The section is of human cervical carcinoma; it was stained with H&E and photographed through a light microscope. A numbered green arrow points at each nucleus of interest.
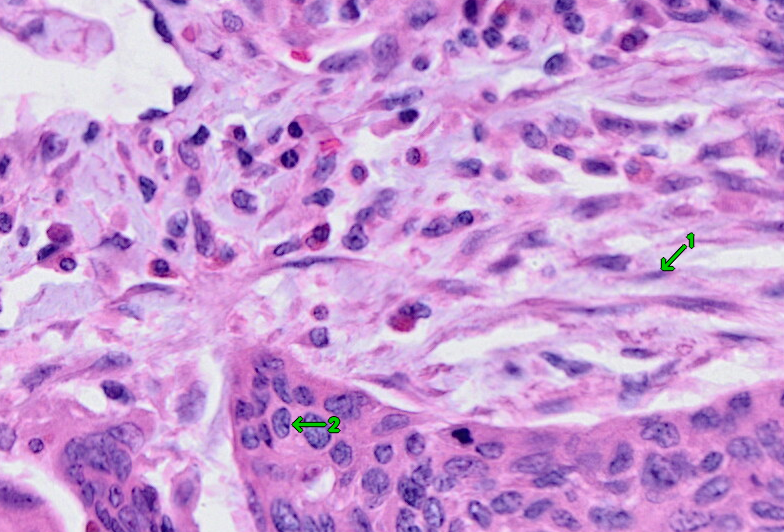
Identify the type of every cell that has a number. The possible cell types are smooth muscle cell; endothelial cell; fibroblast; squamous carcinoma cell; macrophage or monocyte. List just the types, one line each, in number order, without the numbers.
fibroblast
squamous carcinoma cell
